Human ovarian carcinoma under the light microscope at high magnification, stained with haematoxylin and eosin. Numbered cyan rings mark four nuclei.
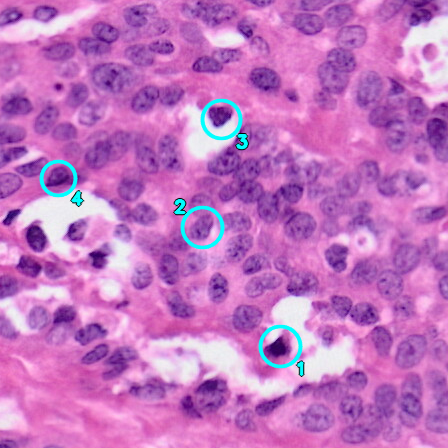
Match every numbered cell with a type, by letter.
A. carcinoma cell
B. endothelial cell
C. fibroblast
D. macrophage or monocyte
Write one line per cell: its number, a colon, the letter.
1: A
2: D
3: A
4: A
